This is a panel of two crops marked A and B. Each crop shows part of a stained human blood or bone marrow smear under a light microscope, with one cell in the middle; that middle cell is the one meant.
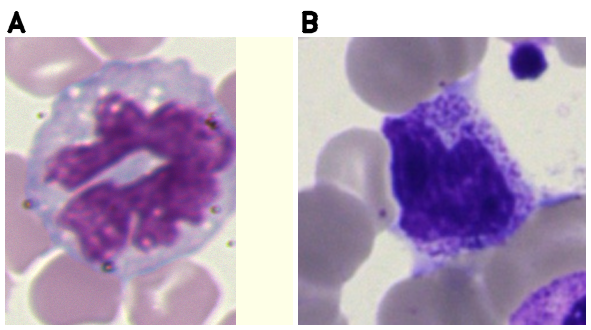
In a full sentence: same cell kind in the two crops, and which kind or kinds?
No, a monocyte is shown in crop A and a metamyelocyte in crop B.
